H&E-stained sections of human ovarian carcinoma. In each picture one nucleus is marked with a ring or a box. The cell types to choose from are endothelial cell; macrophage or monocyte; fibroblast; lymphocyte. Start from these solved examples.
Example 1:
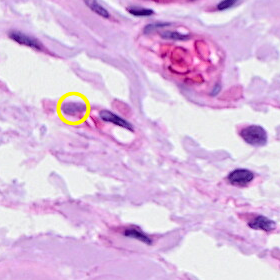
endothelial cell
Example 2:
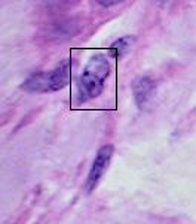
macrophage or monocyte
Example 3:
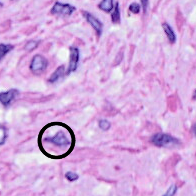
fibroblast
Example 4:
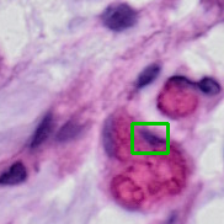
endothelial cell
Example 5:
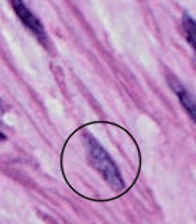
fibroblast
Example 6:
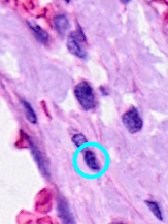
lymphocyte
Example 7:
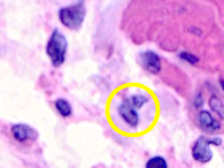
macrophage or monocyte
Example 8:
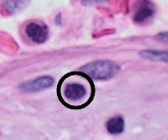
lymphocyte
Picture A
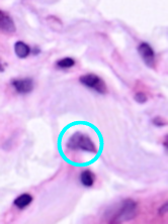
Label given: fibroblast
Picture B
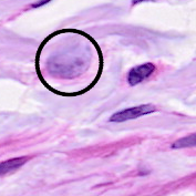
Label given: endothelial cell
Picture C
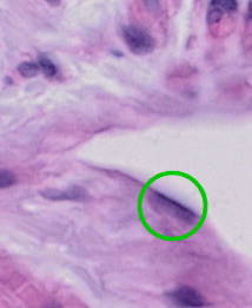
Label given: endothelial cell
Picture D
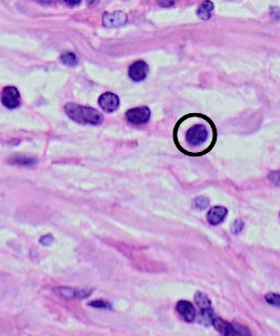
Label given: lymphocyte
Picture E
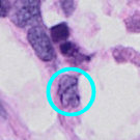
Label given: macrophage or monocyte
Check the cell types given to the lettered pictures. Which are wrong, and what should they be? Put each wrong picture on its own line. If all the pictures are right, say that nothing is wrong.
B: fibroblast, not endothelial cell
